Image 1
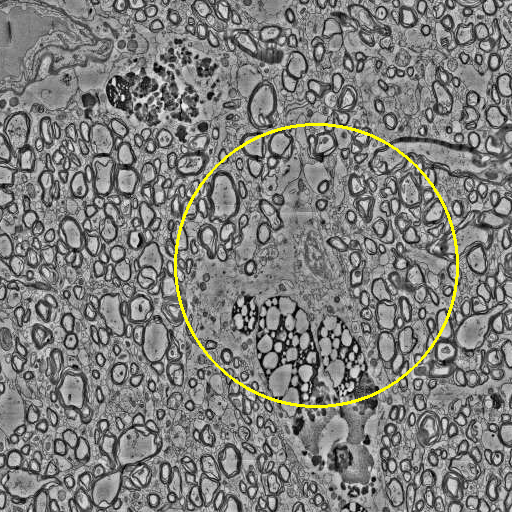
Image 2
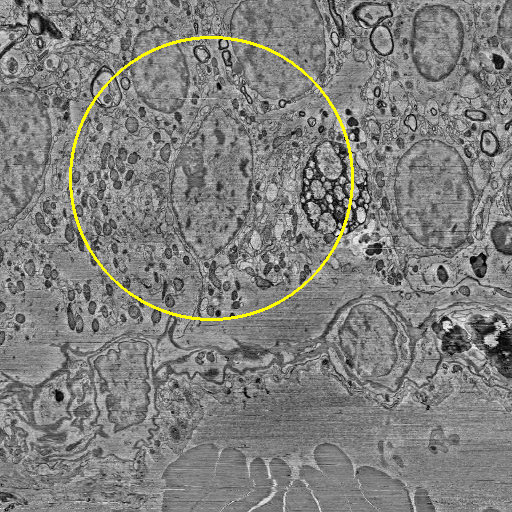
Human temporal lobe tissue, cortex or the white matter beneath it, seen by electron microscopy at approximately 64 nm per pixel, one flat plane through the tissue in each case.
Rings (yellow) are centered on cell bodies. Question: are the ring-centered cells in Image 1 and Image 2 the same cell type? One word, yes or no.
yes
